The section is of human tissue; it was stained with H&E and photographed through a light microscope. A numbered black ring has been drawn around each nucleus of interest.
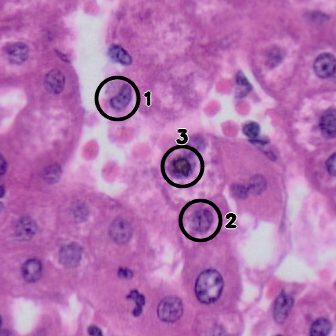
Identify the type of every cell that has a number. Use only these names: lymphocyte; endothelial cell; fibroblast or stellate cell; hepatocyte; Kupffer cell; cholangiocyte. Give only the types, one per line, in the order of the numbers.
Kupffer cell
hepatocyte
hepatocyte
